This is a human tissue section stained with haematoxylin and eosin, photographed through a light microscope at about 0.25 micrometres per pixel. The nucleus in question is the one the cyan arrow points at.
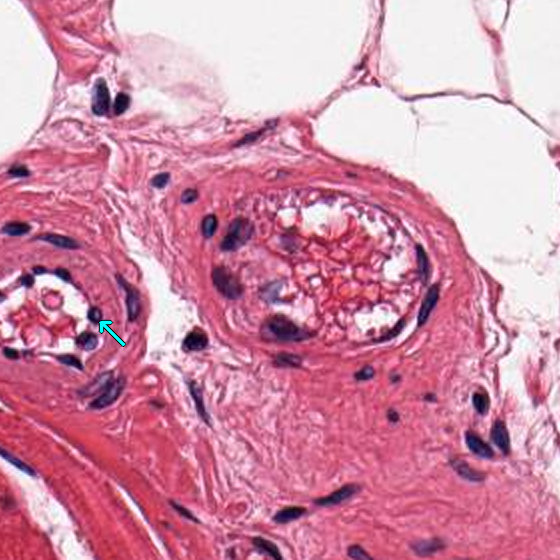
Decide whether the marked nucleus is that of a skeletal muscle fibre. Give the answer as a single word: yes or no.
no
